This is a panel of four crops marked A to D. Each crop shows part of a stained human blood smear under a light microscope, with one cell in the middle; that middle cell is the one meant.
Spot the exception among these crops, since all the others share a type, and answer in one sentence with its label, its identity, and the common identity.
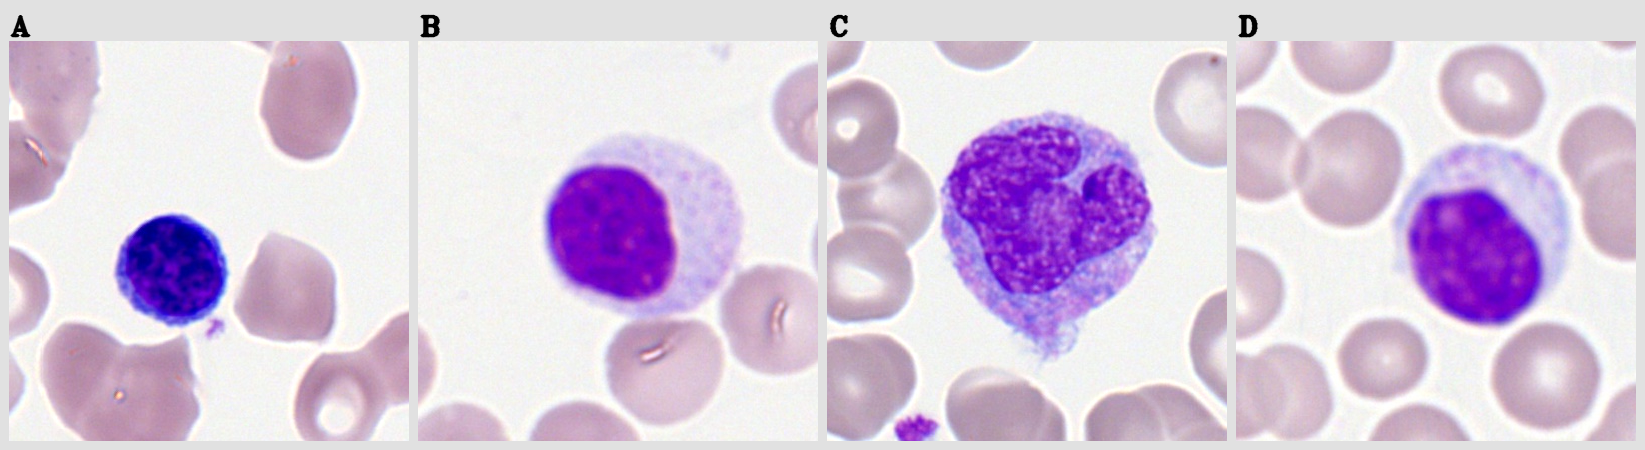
Crop C stands apart from the rest as a monocyte, the others all being lymphocytes.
